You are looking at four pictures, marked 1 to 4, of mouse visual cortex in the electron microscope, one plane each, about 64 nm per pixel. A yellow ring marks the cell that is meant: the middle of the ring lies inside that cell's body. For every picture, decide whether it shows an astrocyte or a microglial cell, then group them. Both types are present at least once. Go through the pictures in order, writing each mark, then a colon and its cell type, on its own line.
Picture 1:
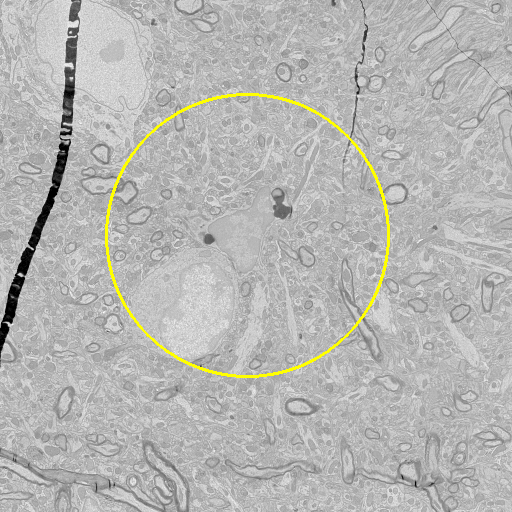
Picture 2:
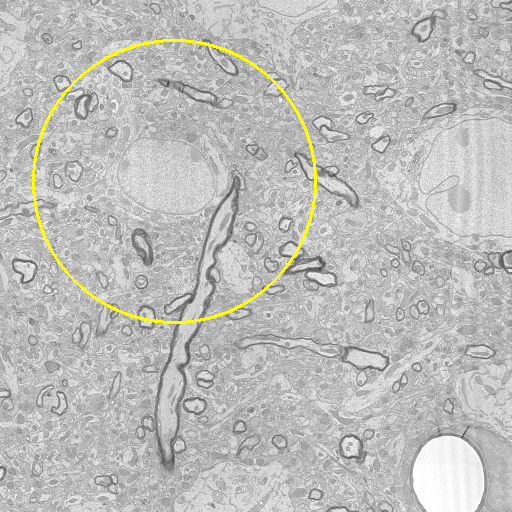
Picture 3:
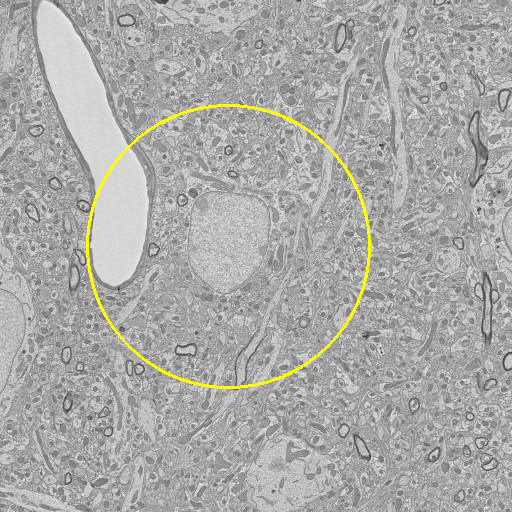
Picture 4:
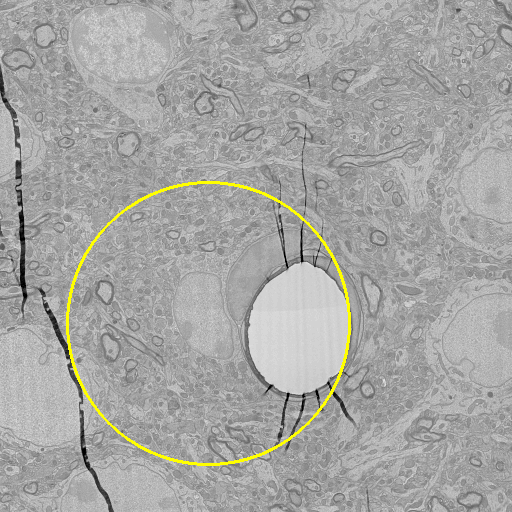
1: microglial cell
2: astrocyte
3: astrocyte
4: astrocyte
